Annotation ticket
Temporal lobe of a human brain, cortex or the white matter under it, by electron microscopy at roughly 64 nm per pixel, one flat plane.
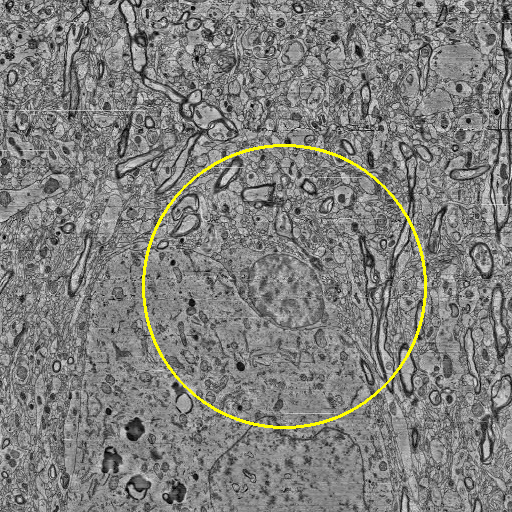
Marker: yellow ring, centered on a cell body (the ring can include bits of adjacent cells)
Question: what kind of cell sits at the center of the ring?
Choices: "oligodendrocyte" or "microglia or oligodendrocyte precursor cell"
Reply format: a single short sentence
The ring is centered on an oligodendrocyte.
